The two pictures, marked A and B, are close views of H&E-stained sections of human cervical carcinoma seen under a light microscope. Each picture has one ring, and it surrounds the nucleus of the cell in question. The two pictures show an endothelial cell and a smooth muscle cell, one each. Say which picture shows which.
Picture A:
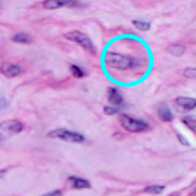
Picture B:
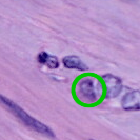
A: smooth muscle cell
B: endothelial cell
